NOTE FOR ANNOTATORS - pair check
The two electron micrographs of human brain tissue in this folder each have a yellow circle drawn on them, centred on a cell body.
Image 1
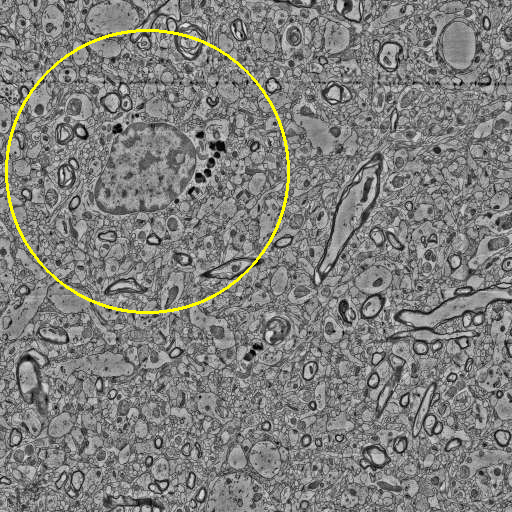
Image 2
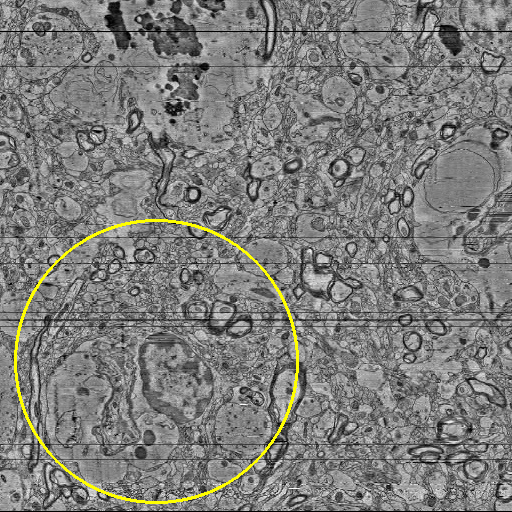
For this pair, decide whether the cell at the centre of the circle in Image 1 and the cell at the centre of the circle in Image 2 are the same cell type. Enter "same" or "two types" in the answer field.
same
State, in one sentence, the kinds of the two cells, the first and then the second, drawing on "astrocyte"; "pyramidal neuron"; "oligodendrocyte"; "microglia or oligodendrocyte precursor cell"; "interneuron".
Each of the two rings is centred on a microglial cell or oligodendrocyte precursor cell.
